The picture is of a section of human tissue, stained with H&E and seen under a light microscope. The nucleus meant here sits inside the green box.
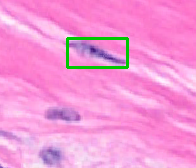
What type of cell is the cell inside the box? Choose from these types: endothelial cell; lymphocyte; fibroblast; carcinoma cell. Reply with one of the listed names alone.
fibroblast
